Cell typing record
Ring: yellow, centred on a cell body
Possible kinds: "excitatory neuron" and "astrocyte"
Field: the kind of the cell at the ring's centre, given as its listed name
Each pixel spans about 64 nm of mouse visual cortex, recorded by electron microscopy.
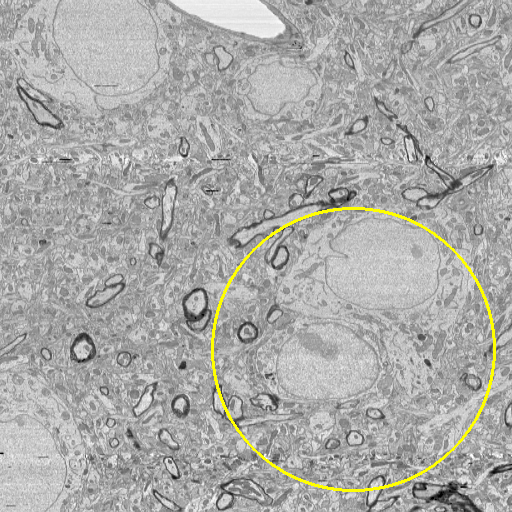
astrocyte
